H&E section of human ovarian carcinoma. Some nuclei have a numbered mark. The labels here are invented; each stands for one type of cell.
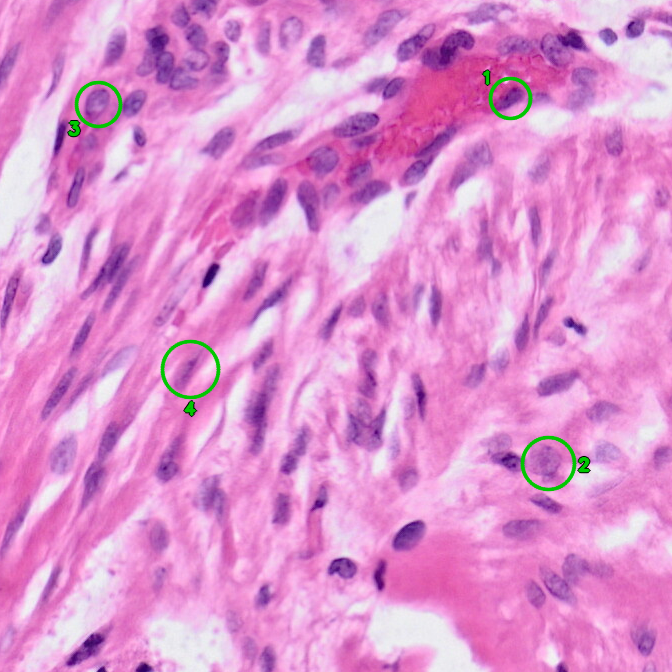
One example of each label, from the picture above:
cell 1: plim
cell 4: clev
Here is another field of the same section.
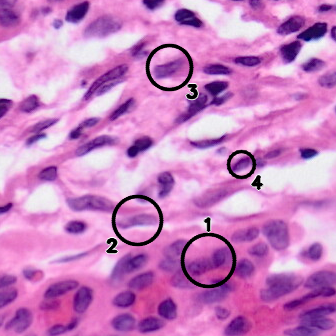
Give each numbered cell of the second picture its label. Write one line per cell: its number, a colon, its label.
1: plim
2: clev
3: clev
4: clev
